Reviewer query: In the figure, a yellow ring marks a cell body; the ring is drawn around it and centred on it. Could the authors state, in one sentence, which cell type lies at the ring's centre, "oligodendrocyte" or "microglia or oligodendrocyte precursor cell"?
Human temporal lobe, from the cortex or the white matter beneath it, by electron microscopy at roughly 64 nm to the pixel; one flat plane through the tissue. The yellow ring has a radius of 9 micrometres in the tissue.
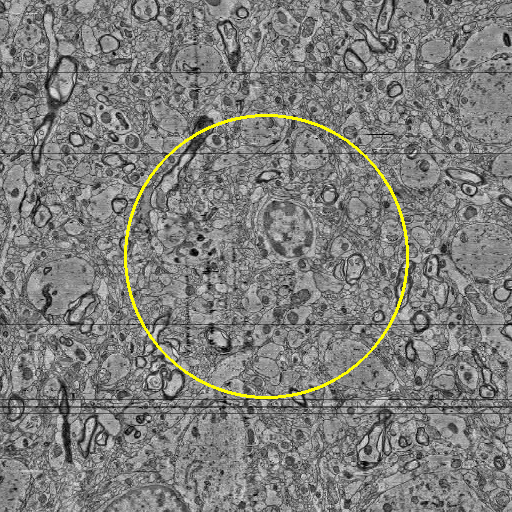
The ring is centred on a microglial cell or oligodendrocyte precursor cell.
